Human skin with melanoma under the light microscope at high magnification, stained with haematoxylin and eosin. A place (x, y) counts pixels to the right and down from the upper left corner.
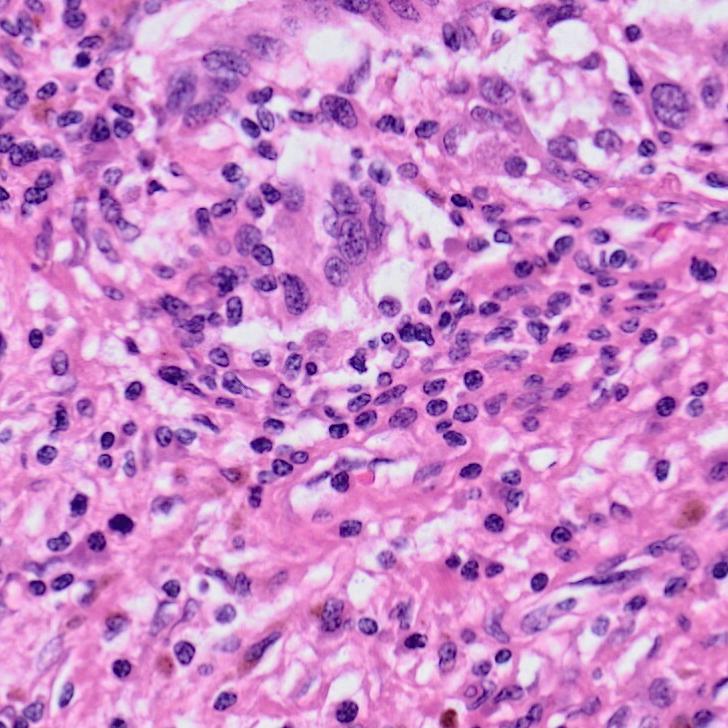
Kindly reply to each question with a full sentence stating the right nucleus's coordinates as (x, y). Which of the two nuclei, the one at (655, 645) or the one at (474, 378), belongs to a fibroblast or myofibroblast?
The nucleus contained in a fibroblast or myofibroblast is the one at (655, 645).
